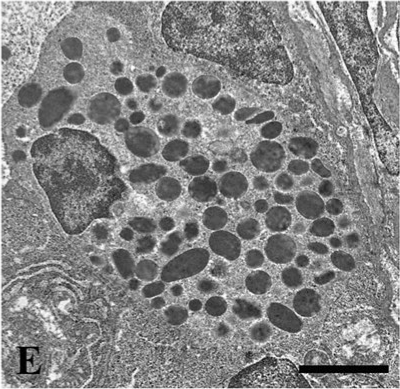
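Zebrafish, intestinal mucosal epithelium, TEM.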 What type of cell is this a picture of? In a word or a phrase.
Granulocytes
